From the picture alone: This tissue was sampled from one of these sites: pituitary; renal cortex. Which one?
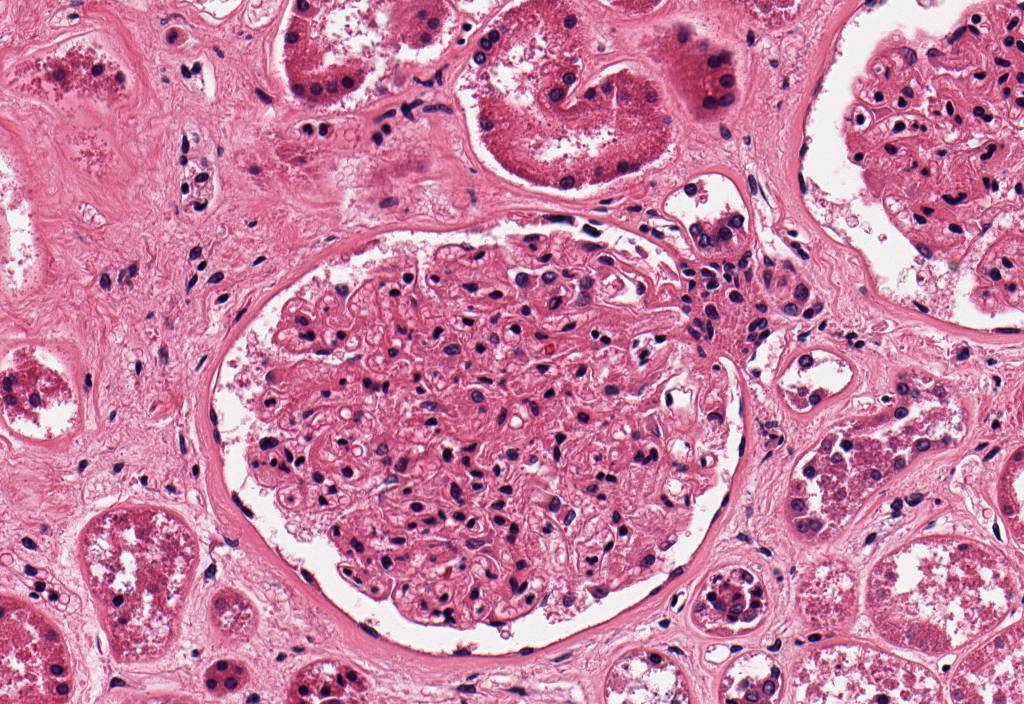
renal cortex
